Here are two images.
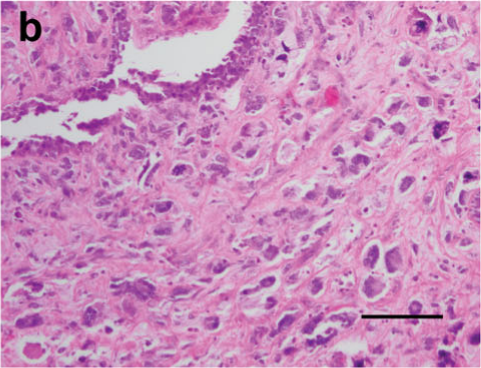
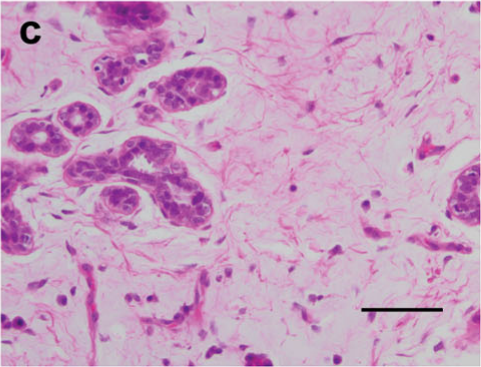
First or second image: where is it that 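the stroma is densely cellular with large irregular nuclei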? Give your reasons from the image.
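The first image. Second image: sparse small stromal cells in pale loose matrix. First image: crowded stromal cells with large, dark, pleomorphic nuclei.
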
